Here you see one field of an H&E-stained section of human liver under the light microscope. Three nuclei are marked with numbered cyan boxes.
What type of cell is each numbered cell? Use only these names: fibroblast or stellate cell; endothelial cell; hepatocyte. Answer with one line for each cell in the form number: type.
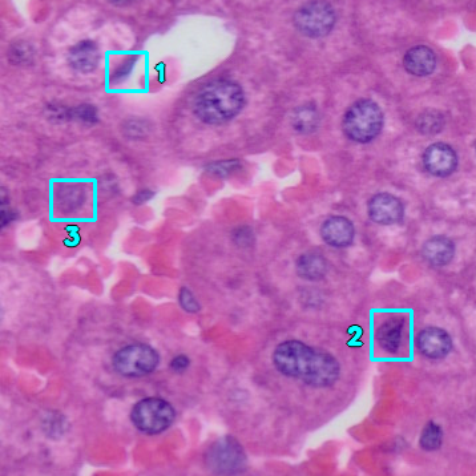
1: endothelial cell
2: fibroblast or stellate cell
3: hepatocyte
